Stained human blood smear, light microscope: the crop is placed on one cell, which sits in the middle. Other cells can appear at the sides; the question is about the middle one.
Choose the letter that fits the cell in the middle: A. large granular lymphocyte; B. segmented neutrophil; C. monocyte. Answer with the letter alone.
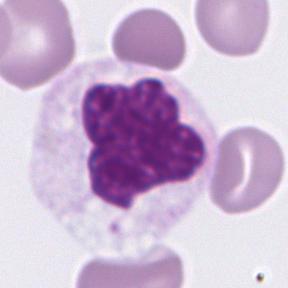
B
